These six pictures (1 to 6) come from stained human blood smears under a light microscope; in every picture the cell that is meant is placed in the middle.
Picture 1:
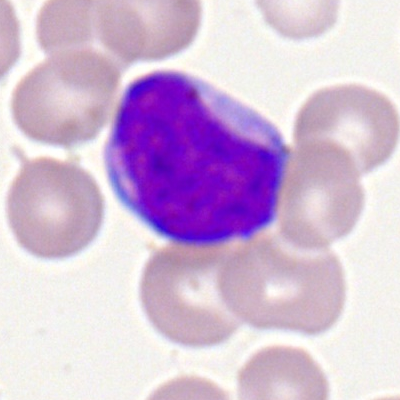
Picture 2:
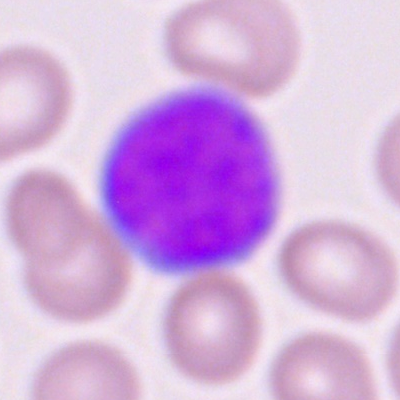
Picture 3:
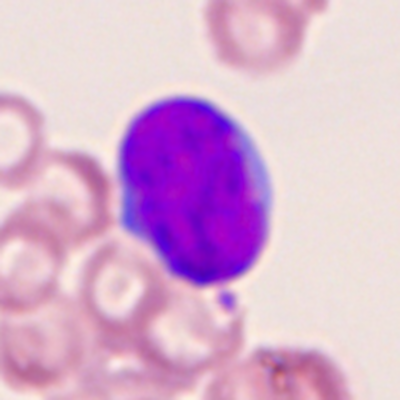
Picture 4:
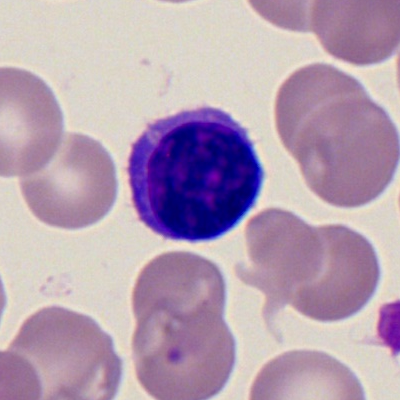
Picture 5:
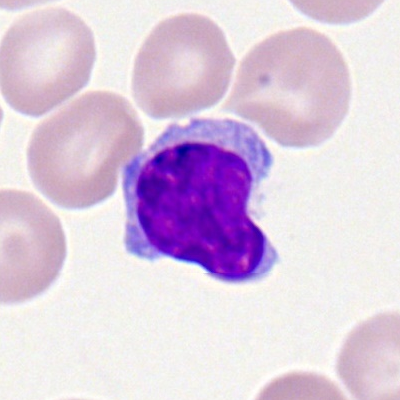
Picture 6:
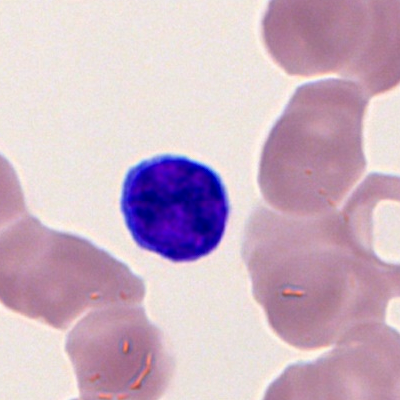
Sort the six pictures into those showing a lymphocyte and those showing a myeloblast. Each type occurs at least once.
1: myeloblast
2: myeloblast
3: myeloblast
4: lymphocyte
5: lymphocyte
6: lymphocyte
